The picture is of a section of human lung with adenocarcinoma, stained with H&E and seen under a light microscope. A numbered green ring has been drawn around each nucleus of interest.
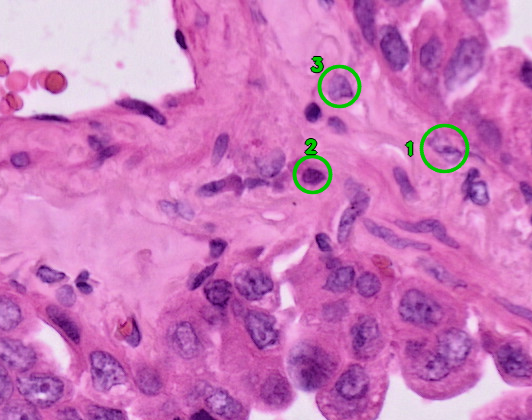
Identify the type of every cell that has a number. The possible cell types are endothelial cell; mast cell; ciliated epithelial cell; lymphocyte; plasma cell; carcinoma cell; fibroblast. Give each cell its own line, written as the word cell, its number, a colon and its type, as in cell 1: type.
cell 1: fibroblast
cell 2: plasma cell
cell 3: fibroblast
